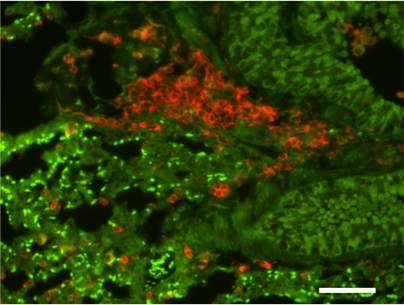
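This lung section shows a focal cluster of round cells outlined in red lying in the tissue beside an airway. The red-outlined cells are packed closely together in the upper centre, with fewer scattered around the edges. Many small bright green dots lie scattered through the surrounding parenchyma at the left and bottom. Dark empty areas correspond to air spaces and lumina.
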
